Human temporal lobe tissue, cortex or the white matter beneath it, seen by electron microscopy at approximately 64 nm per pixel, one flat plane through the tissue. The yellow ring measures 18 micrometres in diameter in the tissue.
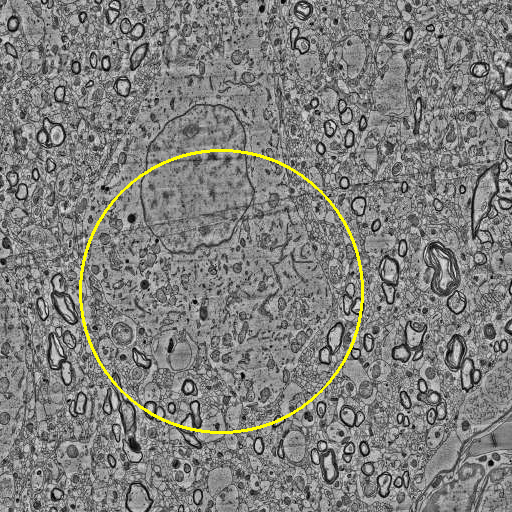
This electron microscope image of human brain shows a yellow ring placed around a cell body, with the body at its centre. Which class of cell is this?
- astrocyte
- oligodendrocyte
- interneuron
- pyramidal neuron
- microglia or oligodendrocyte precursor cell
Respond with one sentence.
The cell body at the ring's centre is an oligodendrocyte.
